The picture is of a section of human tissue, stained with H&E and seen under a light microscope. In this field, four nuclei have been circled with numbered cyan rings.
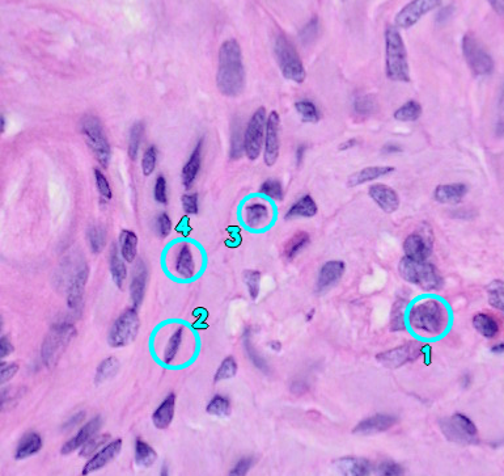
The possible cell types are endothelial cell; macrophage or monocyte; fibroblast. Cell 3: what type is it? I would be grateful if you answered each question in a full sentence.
Of the numbered cells, the one labelled 3 is a fibroblast.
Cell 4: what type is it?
Among the marked nuclei, number 4 belongs to a fibroblast.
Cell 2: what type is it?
Corresponding to a fibroblast is the cell labelled 2.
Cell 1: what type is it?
The correct answer for cell 1 is an endothelial cell.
